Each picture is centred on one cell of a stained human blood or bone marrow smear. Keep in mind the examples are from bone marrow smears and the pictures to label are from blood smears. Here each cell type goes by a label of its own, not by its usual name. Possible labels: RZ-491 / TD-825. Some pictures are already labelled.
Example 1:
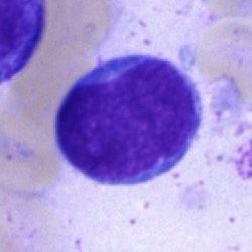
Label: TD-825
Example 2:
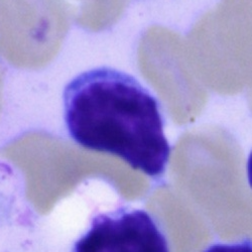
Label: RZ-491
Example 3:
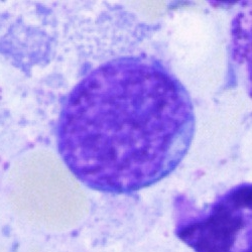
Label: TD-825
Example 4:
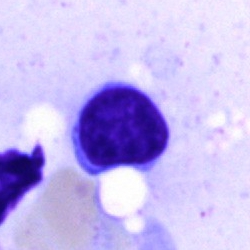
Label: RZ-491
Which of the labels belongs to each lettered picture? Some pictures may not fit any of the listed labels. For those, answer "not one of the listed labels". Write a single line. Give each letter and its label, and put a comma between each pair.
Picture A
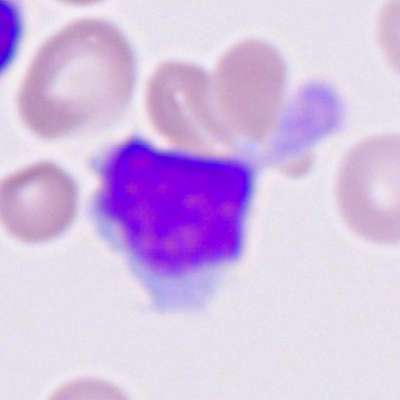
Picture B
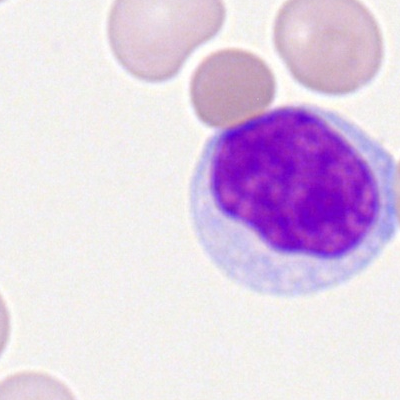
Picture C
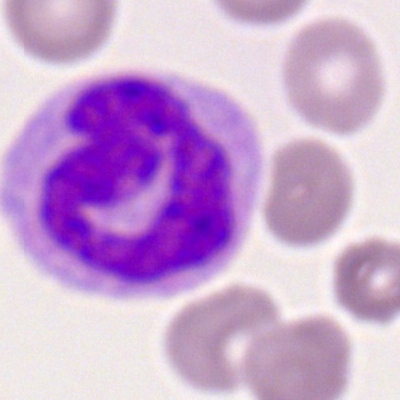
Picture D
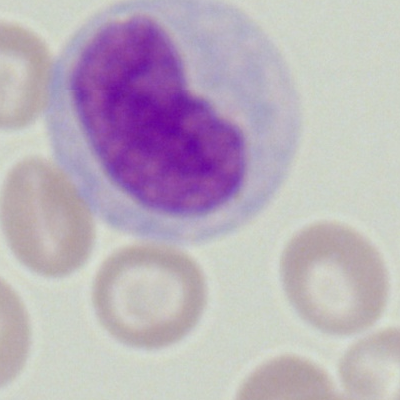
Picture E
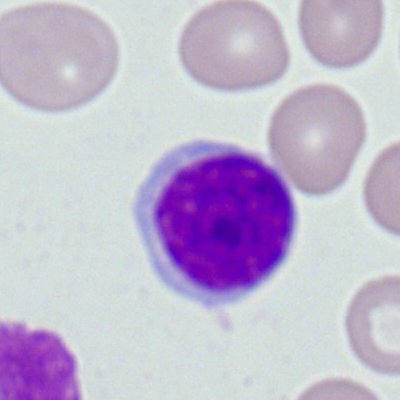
A RZ-491, B RZ-491, C not one of the listed labels, D not one of the listed labels, E RZ-491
